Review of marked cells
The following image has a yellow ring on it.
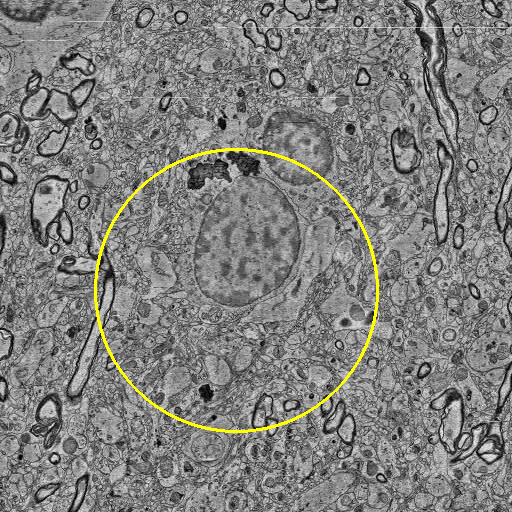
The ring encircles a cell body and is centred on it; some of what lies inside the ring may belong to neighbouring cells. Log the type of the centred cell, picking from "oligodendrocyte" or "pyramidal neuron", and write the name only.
oligodendrocyte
